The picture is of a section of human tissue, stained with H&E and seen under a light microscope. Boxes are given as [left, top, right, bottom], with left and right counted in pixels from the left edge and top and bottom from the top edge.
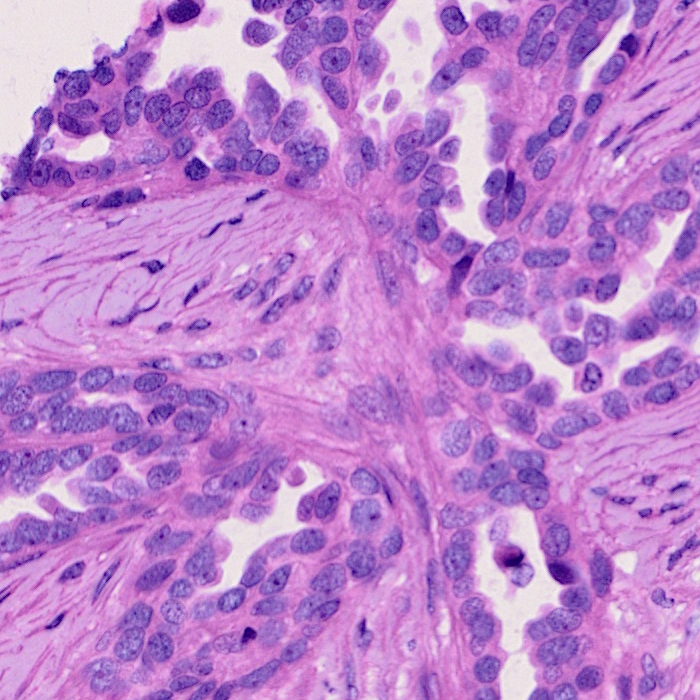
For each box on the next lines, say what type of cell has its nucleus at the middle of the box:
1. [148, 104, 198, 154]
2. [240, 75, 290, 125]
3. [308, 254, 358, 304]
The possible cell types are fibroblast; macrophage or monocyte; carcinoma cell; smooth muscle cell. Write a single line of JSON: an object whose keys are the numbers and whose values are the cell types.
{"1": "carcinoma cell", "2": "carcinoma cell", "3": "fibroblast"}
